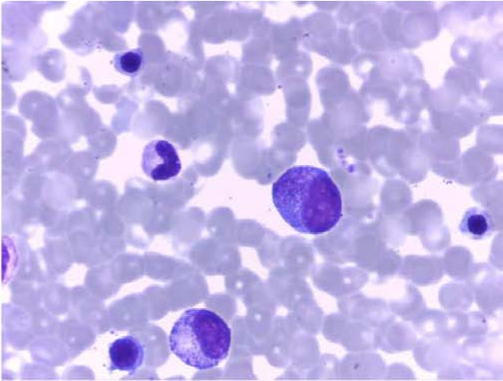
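This is a bone marrow aspirate with background red cells and scattered nucleated marrow cells. Several small round cells carry a dense, very dark, round nucleus with little cytoplasm, typical of late erythroblasts. A smaller cell with an indented, lobed nucleus is also present. The red cells in the background are crowded and overlapping.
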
